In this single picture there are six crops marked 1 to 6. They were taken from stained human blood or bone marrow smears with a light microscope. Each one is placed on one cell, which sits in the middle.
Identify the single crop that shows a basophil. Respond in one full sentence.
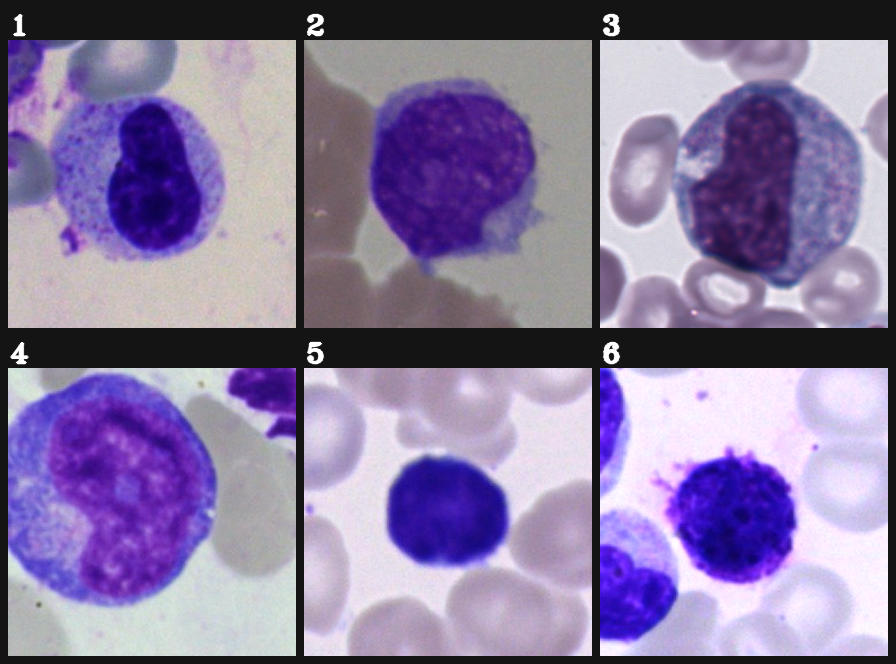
Only in crop 6 is a basophil shown.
